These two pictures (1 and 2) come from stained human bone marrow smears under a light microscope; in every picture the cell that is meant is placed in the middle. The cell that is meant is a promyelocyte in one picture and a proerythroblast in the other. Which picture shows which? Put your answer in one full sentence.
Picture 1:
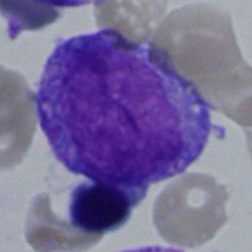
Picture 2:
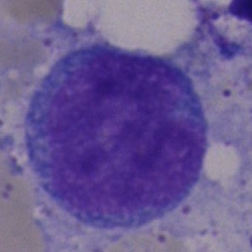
Picture 1 shows a promyelocyte and picture 2 shows a proerythroblast.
